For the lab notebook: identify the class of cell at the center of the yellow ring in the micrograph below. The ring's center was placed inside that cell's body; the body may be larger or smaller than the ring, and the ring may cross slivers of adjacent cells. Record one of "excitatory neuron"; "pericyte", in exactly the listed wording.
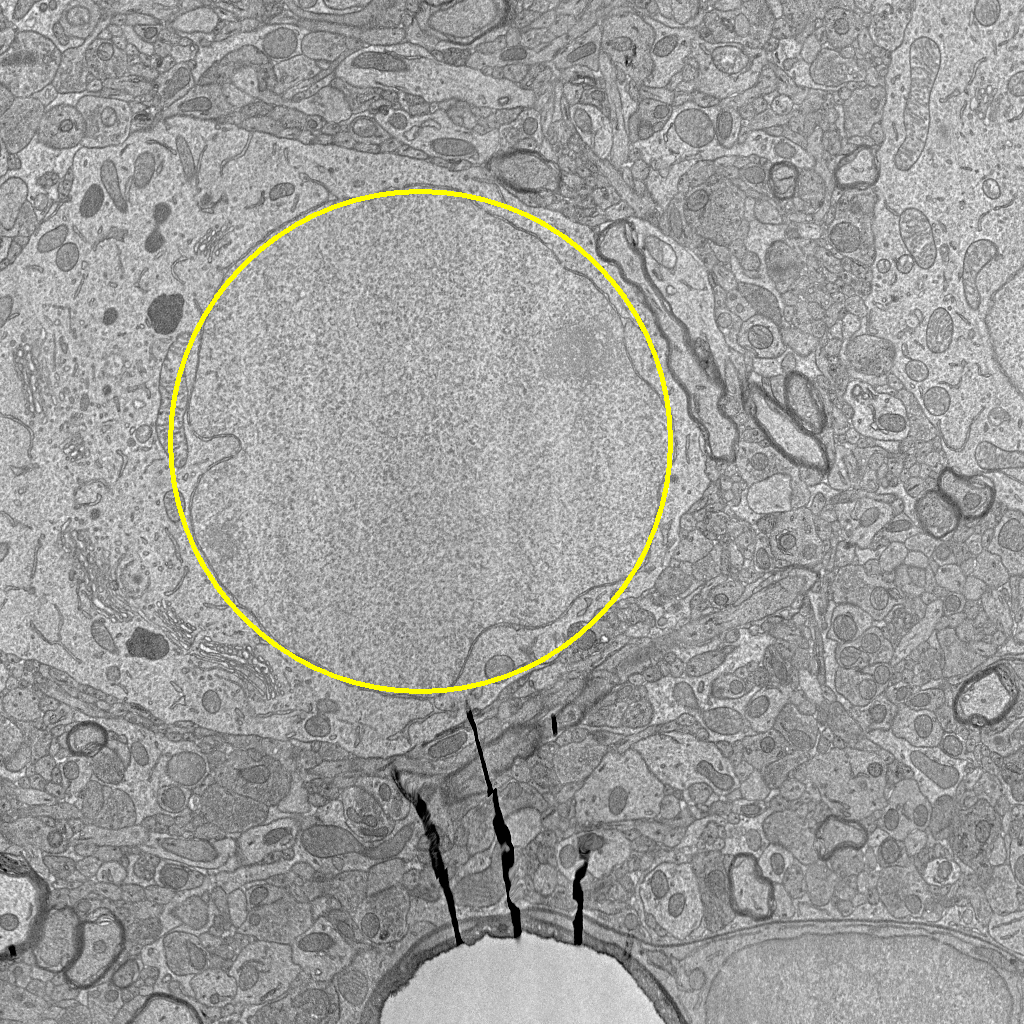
excitatory neuron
